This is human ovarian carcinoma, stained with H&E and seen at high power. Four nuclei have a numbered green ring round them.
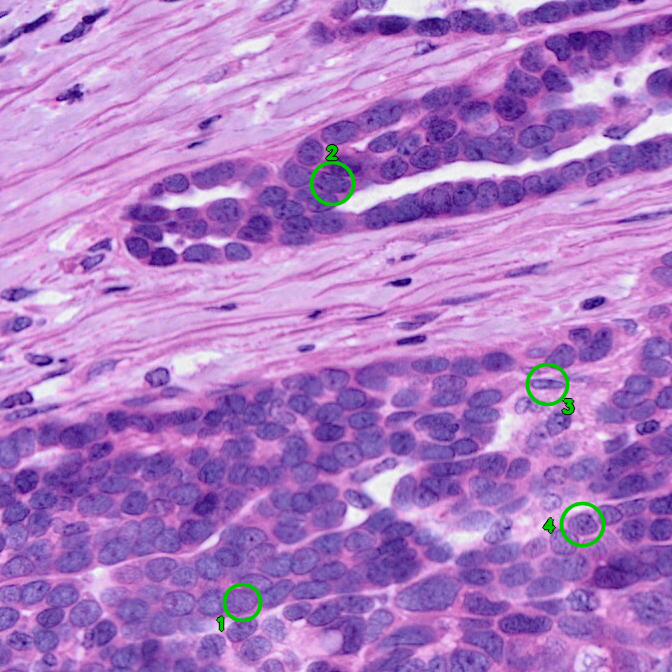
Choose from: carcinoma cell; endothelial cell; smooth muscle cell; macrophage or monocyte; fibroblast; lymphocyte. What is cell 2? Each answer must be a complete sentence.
The numbered cell 2 is identified here as a carcinoma cell.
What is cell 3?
The numbered cell 3 in this field is a fibroblast.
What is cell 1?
Cell 1, as marked in the section, is a carcinoma cell.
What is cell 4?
The cell marked with the number 4 is a carcinoma cell.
